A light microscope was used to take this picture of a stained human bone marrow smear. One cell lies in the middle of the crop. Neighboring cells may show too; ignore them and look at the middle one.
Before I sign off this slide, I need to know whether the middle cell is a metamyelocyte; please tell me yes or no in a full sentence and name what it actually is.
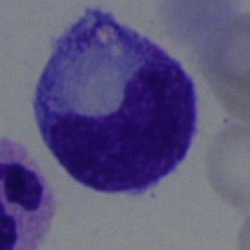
Yes, the cell that the crop is centered on is a metamyelocyte.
